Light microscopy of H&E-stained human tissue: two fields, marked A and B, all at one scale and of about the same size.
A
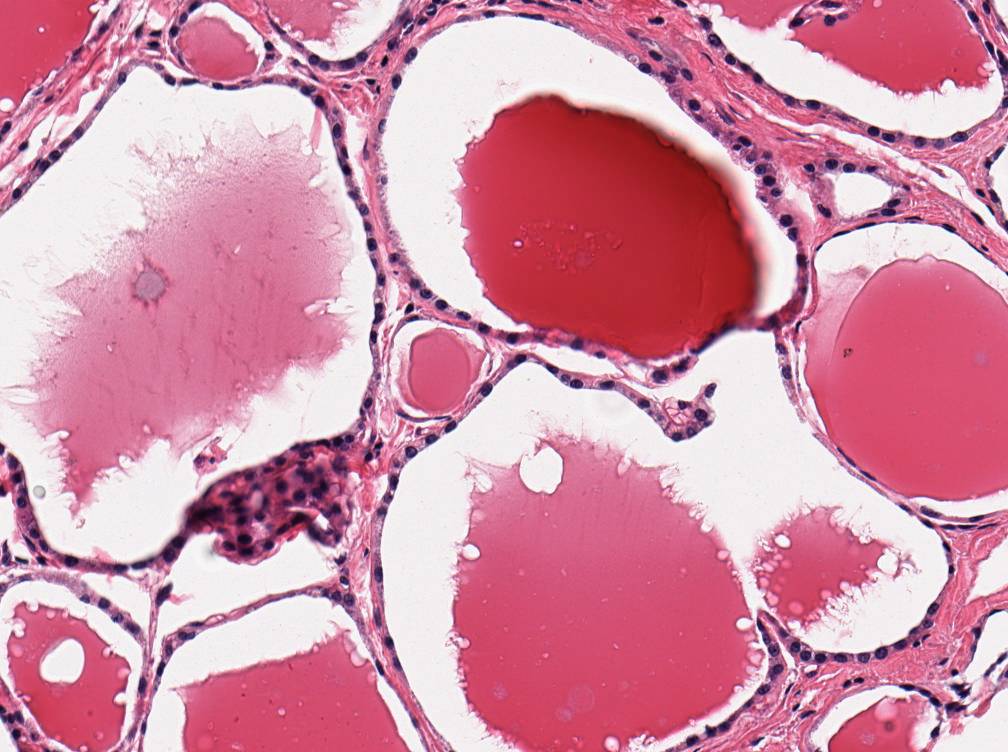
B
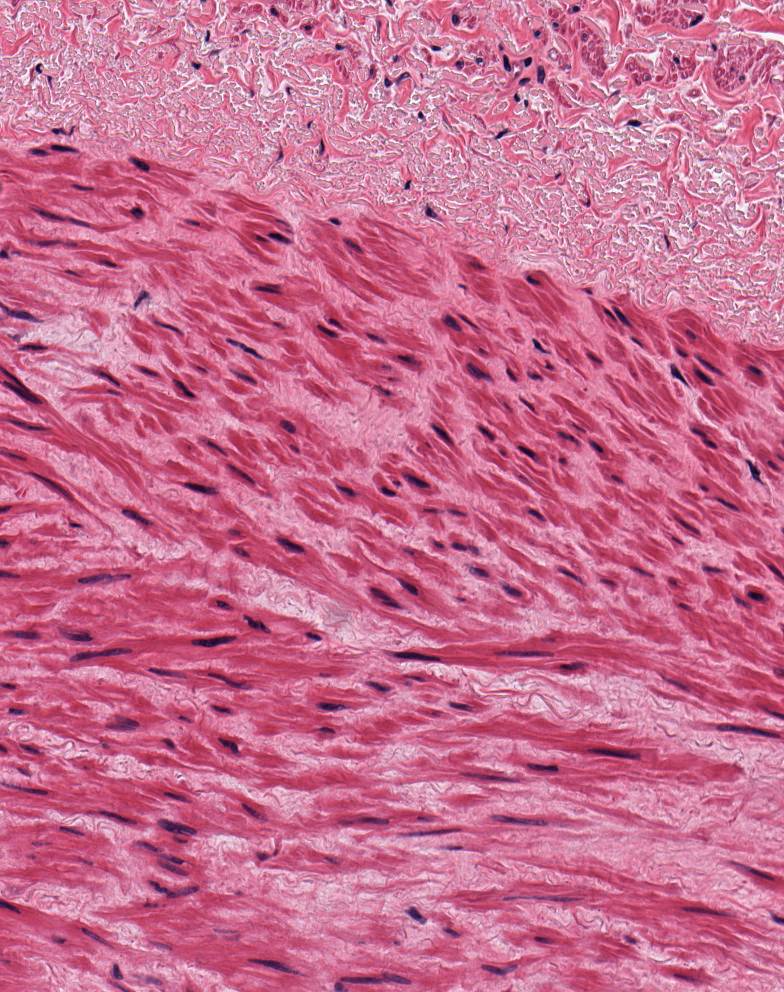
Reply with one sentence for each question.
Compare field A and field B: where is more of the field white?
It is field A in which white space covers the larger part.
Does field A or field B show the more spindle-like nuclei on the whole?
On the whole the nuclei of field B are more drawn out than those of field A.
